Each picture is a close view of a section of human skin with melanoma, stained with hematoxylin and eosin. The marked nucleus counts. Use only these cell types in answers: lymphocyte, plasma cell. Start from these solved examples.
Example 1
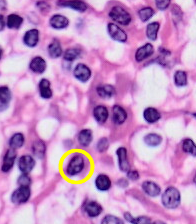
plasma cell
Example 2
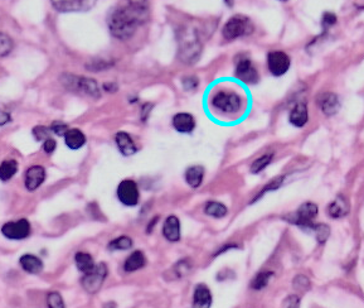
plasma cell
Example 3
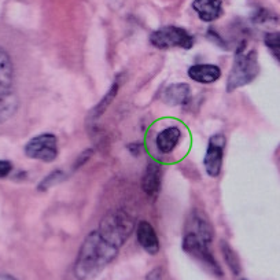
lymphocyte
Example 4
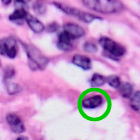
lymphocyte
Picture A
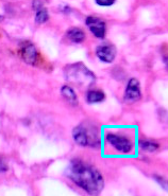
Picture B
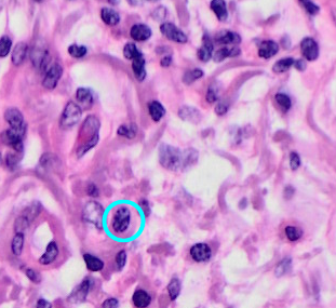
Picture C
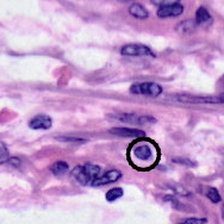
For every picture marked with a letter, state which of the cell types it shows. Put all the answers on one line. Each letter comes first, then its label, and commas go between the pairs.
A lymphocyte, B plasma cell, C lymphocyte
